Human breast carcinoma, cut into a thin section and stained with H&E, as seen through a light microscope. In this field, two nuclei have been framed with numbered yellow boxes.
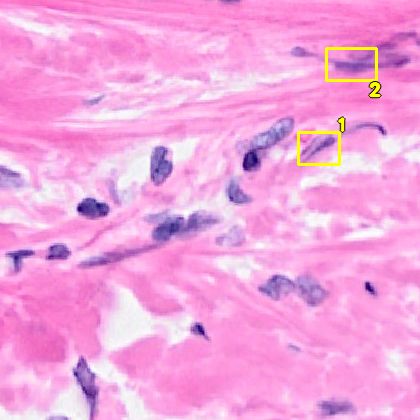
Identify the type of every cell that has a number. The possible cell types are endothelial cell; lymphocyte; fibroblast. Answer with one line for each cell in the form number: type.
1: endothelial cell
2: fibroblast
